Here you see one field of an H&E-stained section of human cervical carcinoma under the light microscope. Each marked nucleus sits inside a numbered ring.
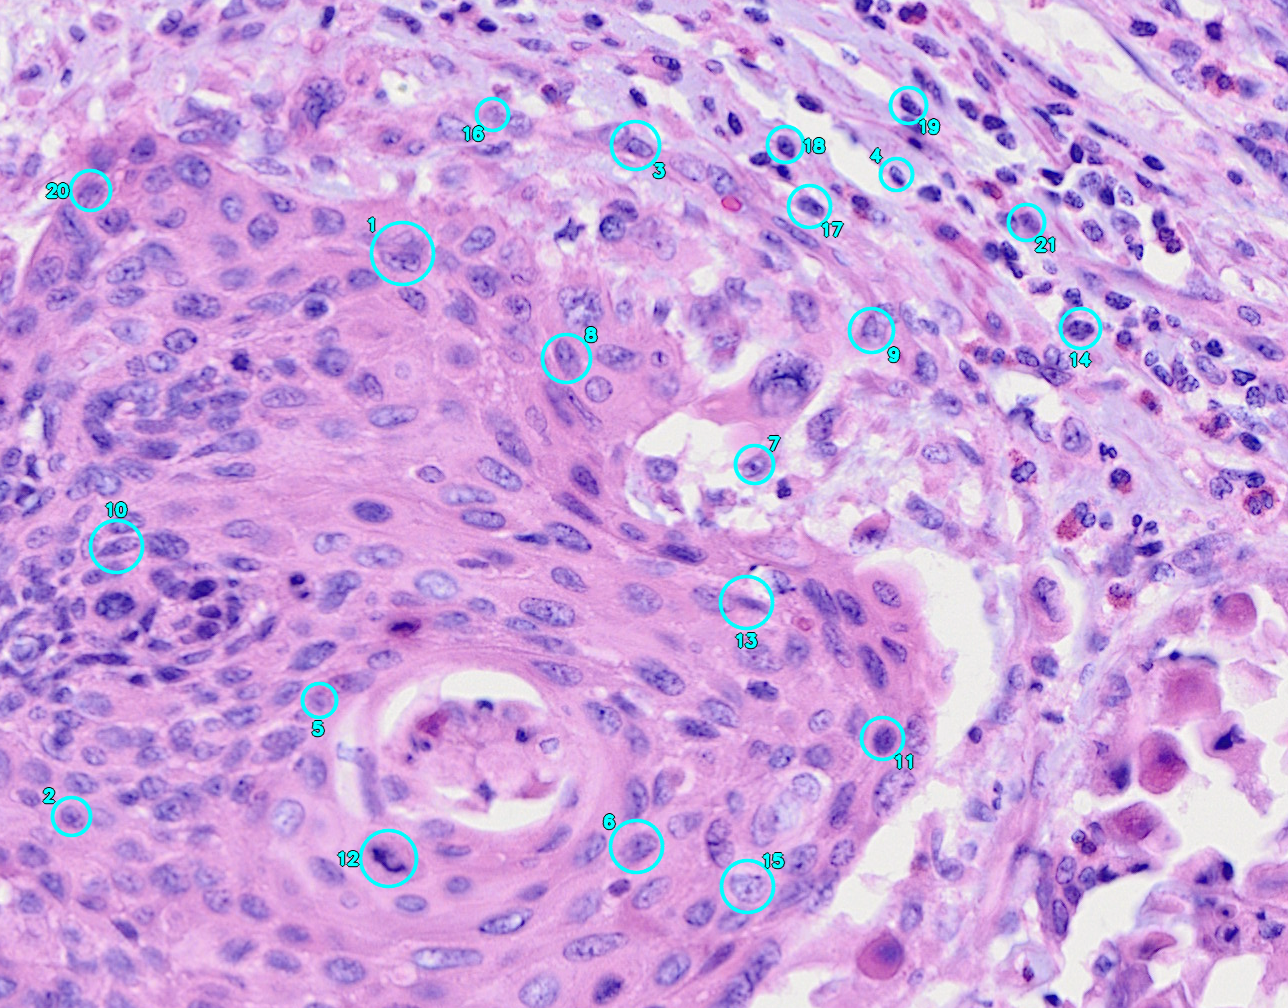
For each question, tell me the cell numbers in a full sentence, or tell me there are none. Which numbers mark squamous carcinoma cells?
The cells which carry the numbers 1, 2, 5, 6, 8, 10, 11, 12, 13, 15 and 20 are squamous carcinoma cells.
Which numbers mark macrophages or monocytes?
The cells that the numbers 7 and 21 belong to are macrophages or monocytes.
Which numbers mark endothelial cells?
The cells with numbers 3, 9 and 16 are endothelial cells by type.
